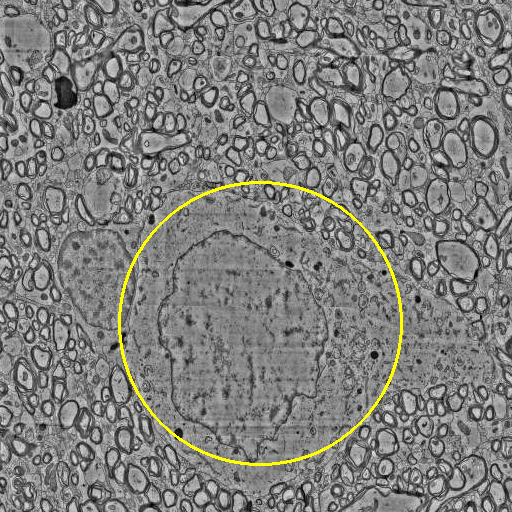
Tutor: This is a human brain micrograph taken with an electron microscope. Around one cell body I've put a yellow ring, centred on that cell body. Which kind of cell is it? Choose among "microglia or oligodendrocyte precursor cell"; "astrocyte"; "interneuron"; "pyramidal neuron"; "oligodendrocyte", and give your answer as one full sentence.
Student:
Going by your list, the cell centred in the yellow ring is a pyramidal neuron.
